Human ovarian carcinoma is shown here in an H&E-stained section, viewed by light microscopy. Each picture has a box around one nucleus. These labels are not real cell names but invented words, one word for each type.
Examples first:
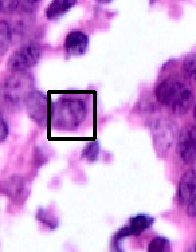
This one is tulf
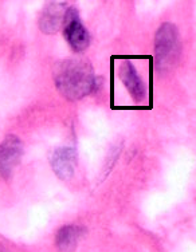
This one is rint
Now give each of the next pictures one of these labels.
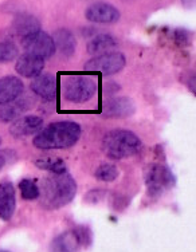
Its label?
tulf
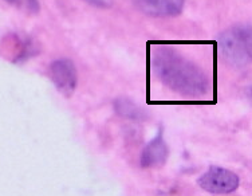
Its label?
rint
